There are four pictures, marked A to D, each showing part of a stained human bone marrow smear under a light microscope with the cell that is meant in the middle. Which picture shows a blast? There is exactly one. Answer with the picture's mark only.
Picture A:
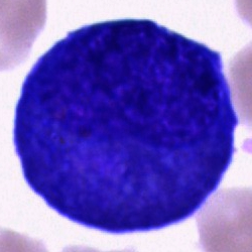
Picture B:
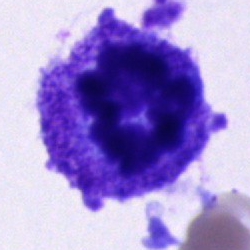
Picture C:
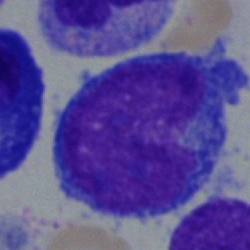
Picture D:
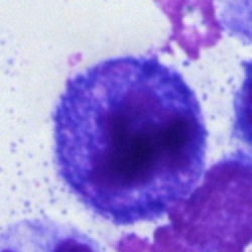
C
